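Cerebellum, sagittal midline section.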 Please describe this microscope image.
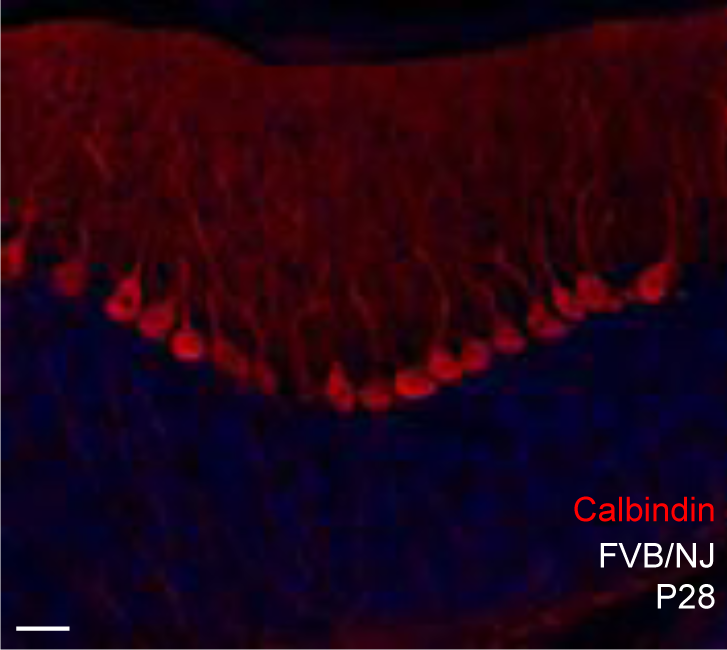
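From each cell body, thin red dendrites rise upward into a wide band that is diffusely red, forming the molecular layer above. Beneath the row of cell bodies lies a darker layer with a bluish tint and little red, corresponding to the granular layer. The curved course of the row follows the folding of the lobule, with the cell layer dipping lowest in the middle of the field.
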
